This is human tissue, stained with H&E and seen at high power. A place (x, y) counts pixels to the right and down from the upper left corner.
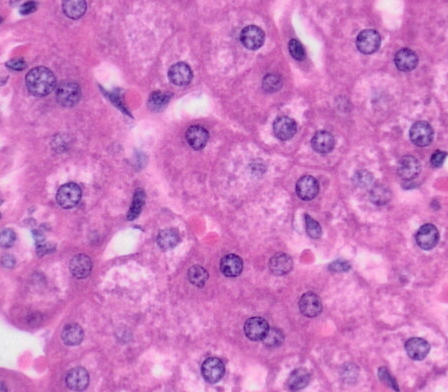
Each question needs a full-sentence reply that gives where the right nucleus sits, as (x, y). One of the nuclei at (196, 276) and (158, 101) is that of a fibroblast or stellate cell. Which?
The nucleus at (158, 101), rather than the other, belongs to a fibroblast or stellate cell.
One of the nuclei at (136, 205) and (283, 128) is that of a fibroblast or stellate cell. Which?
The nucleus that belongs to a fibroblast or stellate cell sits at (136, 205).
